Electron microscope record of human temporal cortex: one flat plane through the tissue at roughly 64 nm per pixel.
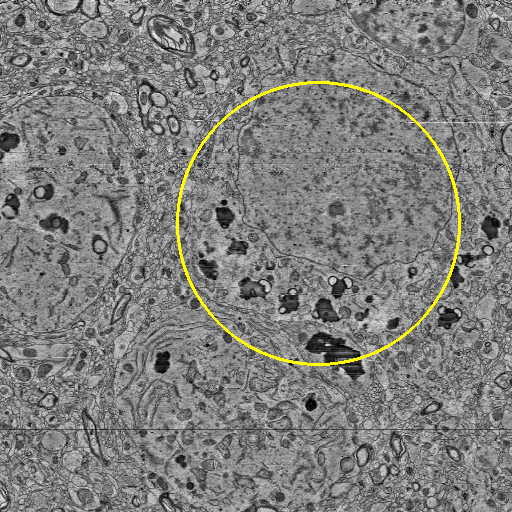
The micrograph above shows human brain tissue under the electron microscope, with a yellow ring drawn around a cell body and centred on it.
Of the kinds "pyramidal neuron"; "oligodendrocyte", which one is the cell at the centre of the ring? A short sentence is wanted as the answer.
The one at the centre of the ring is a pyramidal neuron.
